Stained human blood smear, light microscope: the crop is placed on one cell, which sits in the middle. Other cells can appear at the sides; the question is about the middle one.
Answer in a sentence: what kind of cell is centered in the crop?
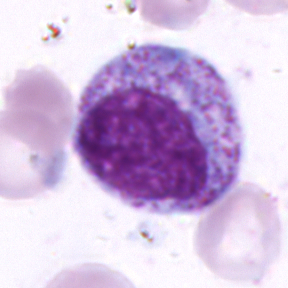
The centrally placed cell is classified as a promyelocyte.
